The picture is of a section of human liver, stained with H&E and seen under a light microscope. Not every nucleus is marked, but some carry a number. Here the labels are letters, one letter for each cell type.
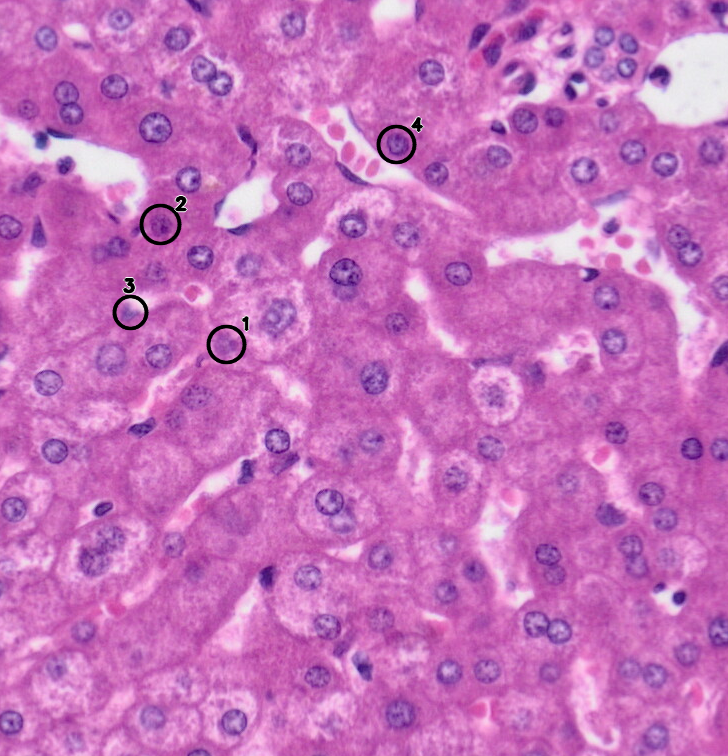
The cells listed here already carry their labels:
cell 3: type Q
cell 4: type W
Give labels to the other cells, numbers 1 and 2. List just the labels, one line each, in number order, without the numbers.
type W
type W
